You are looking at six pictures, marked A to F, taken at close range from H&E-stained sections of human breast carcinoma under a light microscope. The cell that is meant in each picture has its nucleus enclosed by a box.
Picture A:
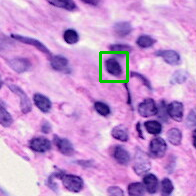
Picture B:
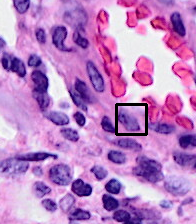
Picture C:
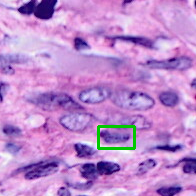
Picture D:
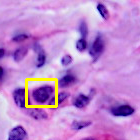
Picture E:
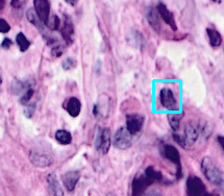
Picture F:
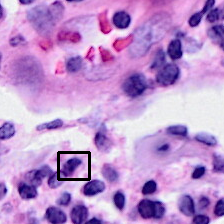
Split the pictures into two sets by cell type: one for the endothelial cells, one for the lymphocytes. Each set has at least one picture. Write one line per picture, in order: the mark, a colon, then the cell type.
A: lymphocyte
B: endothelial cell
C: endothelial cell
D: lymphocyte
E: lymphocyte
F: lymphocyte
